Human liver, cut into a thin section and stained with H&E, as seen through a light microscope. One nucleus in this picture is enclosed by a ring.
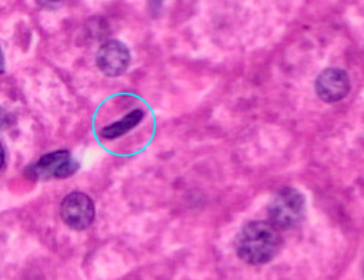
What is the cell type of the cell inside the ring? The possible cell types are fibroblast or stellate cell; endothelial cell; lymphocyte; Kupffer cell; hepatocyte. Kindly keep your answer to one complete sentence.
In the tissue under study, the cell inside the ring is a lymphocyte.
